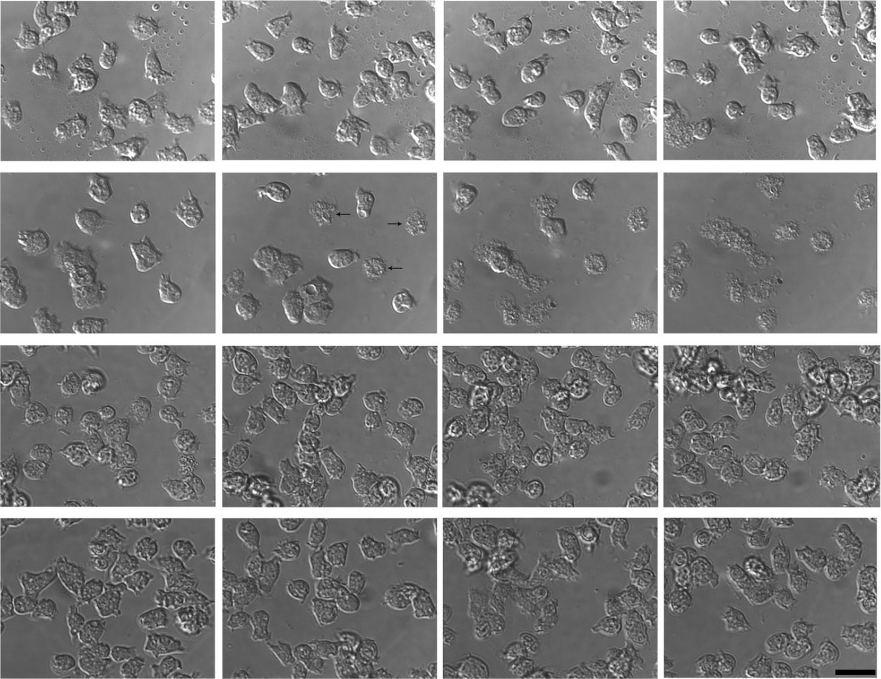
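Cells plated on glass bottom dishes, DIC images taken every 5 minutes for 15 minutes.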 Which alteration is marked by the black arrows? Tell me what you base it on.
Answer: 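Lysed cells. The arrowed cells are rounded with a rough, granular, bumpy surface instead of a smooth outline. Neighbouring unmarked cells in the same image have smooth, continuous outlines.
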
